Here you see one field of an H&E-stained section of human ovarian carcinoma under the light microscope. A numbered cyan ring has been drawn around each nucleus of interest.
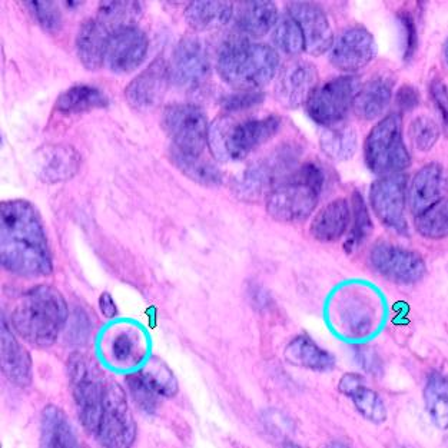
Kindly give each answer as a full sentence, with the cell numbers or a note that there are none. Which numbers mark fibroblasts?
Of those with numbers, only cell 2 is a fibroblast.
